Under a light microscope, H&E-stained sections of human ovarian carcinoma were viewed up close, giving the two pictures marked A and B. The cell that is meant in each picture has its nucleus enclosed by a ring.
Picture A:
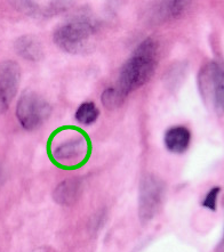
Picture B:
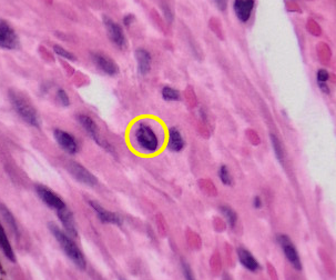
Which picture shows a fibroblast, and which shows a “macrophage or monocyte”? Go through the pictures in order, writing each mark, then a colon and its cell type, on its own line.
A: fibroblast
B: macrophage or monocyte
